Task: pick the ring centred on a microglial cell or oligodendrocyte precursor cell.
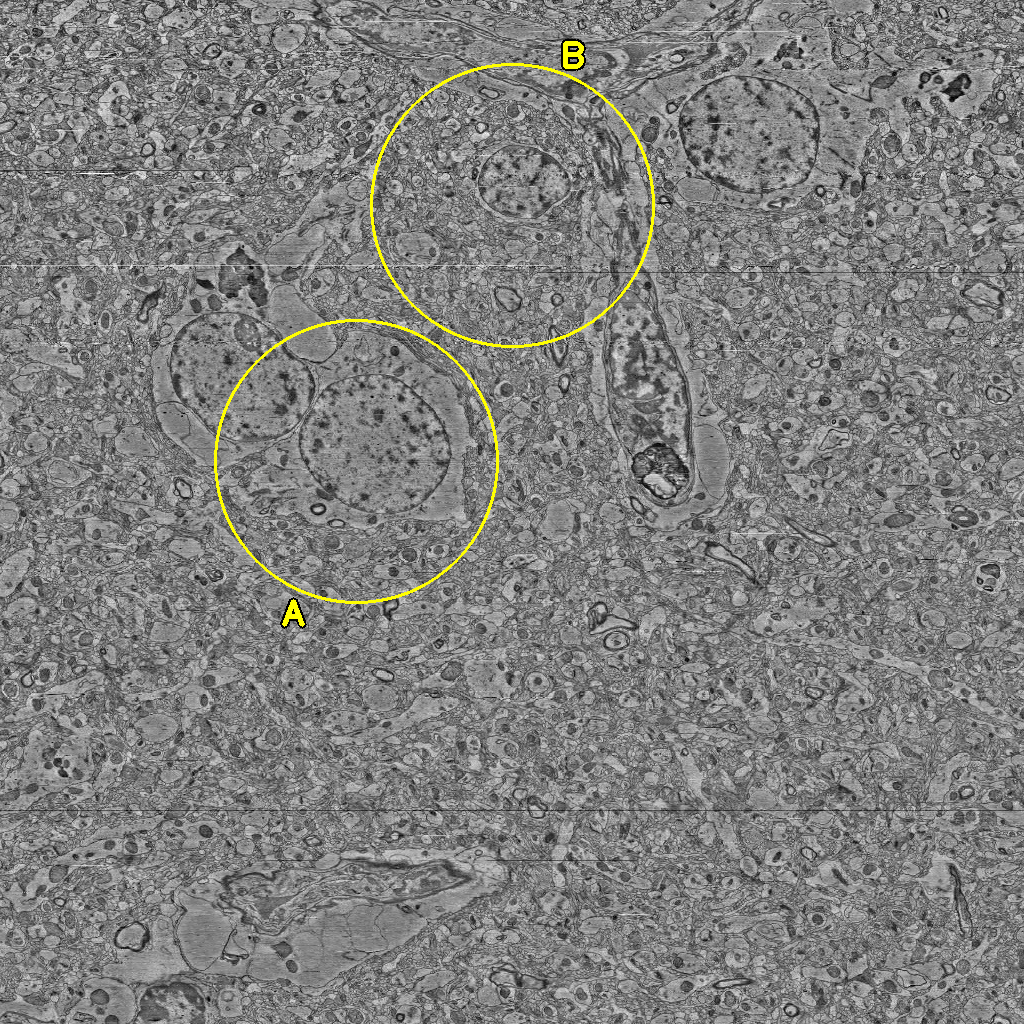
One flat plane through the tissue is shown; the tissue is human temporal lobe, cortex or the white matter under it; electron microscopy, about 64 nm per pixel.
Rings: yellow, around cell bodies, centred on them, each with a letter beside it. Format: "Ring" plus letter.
Ring B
